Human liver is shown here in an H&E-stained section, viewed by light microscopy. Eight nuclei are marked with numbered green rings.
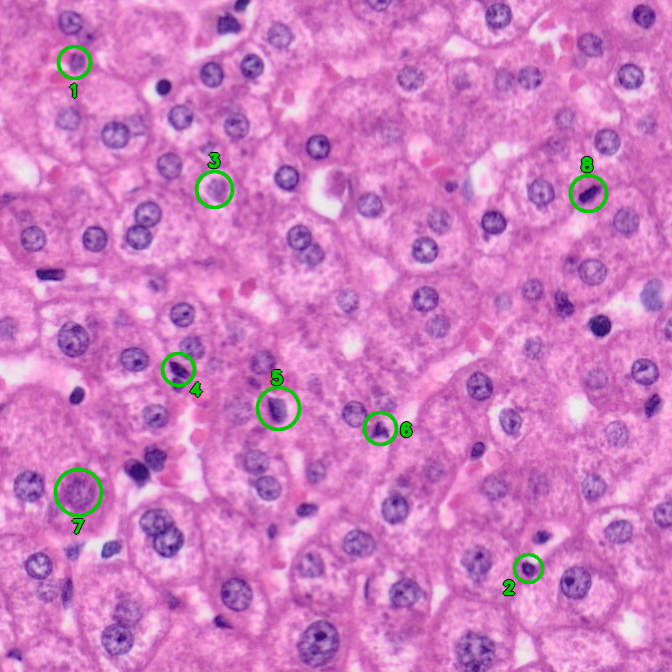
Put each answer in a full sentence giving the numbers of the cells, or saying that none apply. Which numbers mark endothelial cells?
Cells 5 and 6 are of one type, namely endothelial cells.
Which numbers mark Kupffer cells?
Among the labelled cells, only the cell labelled 1 is a Kupffer cell.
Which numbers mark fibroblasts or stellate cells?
Cells 2, 4 and 8 are recognised here as fibroblasts or stellate cells.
